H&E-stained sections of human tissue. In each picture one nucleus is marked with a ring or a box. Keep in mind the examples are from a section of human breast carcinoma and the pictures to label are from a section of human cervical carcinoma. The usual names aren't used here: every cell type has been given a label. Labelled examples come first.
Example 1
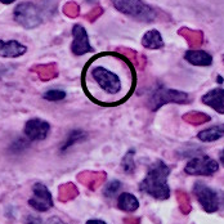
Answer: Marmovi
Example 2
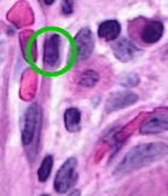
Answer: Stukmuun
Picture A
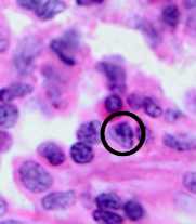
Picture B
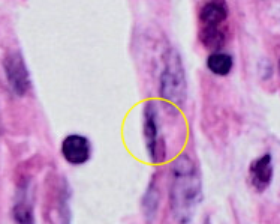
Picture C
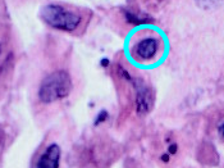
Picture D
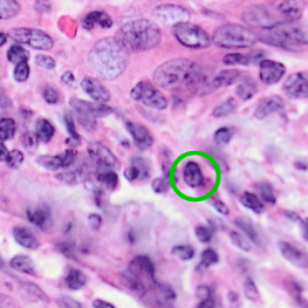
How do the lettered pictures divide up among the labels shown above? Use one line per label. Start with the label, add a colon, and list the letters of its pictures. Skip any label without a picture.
Marmovi: A, C, D
Stukmuun: B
